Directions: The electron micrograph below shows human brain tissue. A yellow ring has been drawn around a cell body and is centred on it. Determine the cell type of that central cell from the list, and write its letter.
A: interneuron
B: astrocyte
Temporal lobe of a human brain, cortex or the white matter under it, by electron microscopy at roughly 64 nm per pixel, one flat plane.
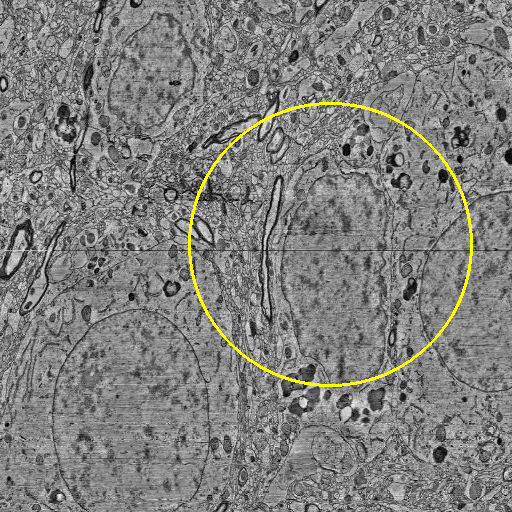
A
